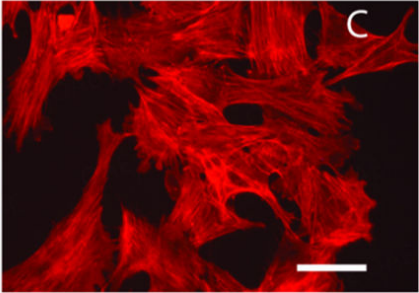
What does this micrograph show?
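The cells are flattened and spread, with irregular polygonal or fan-shaped outlines, and several overlap or touch one another. Dark gaps without cells separate groups of spread cells. Nuclei are not stained and show only as less fibrous areas.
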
